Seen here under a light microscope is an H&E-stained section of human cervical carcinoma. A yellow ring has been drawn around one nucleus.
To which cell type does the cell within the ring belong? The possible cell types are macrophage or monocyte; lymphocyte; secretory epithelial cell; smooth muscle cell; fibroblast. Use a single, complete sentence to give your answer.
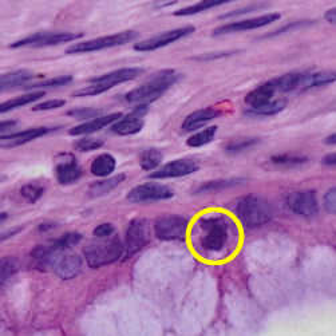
On this particular slide, the cell within the ring is a secretory epithelial cell.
